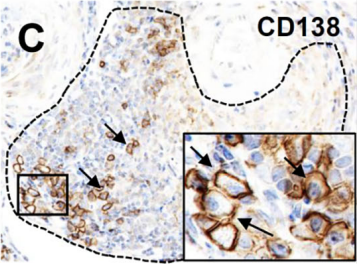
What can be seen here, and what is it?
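Lymphoid aggregate beside a vessel, outlined by a dashed line, made of densely packed small cells with blue nuclei. Scattered within it are larger round to oval cells whose membranes are ringed in brown, with round, often off-centre nuclei, consistent with plasma cells; they are most numerous toward the lower left.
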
